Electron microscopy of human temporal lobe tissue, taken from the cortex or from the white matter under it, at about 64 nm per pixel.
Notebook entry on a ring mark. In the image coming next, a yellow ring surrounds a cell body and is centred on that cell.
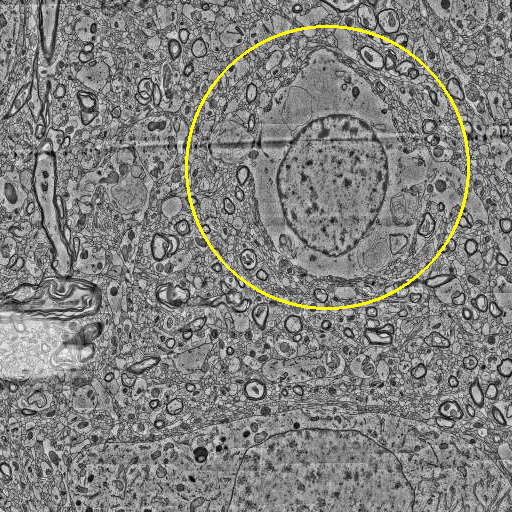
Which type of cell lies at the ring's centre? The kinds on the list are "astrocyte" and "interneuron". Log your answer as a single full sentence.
Centred in the yellow ring is an astrocyte, the cell recorded for this image.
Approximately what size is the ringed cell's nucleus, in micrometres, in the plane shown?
The ringed cell's nucleus measures approximately 9 by 7 micrometres in this plane.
